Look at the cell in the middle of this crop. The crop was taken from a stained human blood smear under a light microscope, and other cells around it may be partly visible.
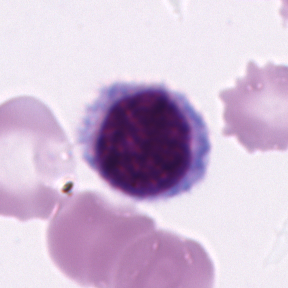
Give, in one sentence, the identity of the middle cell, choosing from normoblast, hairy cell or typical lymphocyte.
The single cell at the center of the crop is a hairy cell.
